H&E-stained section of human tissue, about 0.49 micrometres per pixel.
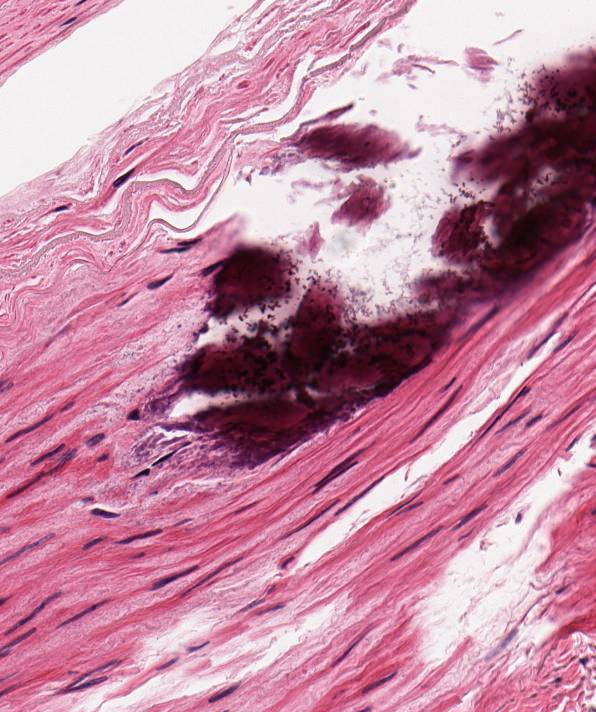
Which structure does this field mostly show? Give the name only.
tunica media of an artery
